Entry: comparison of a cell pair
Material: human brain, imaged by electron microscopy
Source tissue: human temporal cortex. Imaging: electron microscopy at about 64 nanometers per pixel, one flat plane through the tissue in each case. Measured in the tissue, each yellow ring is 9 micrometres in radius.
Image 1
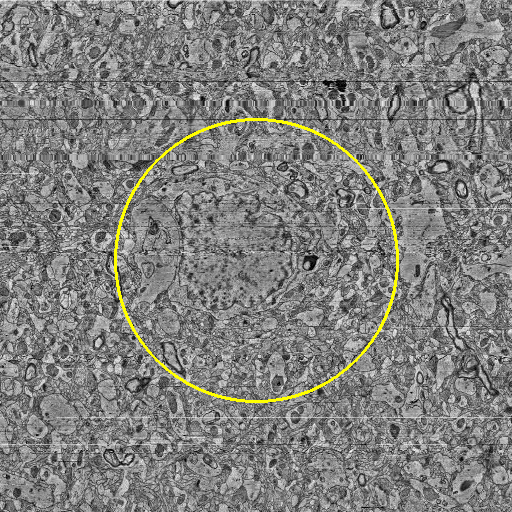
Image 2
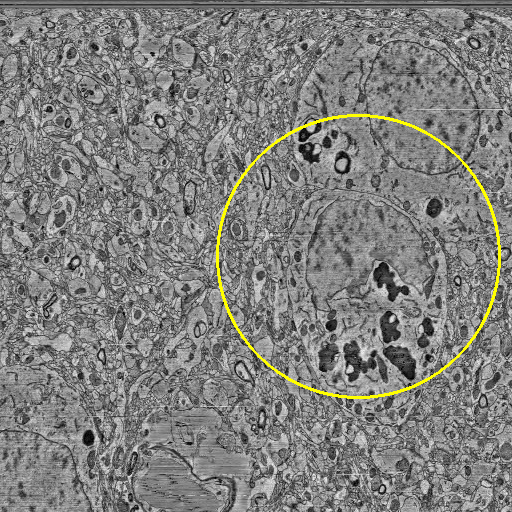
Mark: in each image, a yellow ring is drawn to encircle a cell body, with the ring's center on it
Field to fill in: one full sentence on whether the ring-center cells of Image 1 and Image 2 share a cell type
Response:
Yes, Image 1 and Image 2 each show a ring-center cell of one shared type.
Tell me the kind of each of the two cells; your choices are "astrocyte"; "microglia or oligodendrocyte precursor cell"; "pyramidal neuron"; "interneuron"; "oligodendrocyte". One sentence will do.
The cell at the ring centre is an interneuron in both pictures.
